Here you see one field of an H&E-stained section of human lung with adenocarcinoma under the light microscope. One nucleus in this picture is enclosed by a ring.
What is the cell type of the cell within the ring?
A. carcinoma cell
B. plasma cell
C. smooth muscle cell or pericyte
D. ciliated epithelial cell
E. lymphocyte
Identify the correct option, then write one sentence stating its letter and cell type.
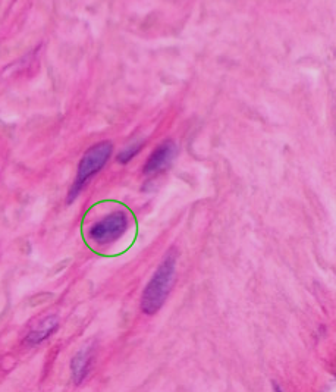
Option C is the right choice, for the cell within the ring is a smooth muscle cell or pericyte.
